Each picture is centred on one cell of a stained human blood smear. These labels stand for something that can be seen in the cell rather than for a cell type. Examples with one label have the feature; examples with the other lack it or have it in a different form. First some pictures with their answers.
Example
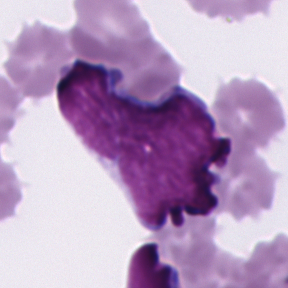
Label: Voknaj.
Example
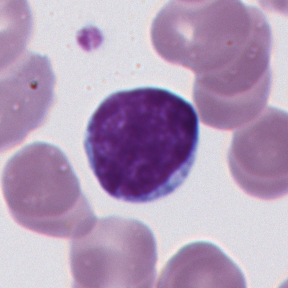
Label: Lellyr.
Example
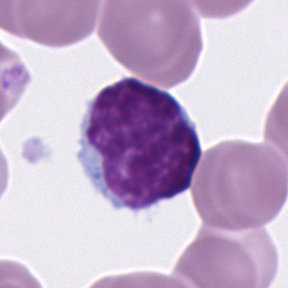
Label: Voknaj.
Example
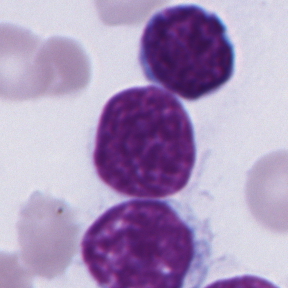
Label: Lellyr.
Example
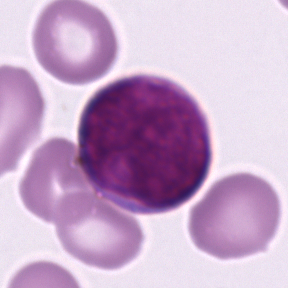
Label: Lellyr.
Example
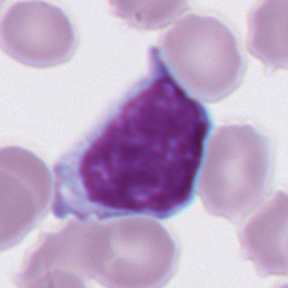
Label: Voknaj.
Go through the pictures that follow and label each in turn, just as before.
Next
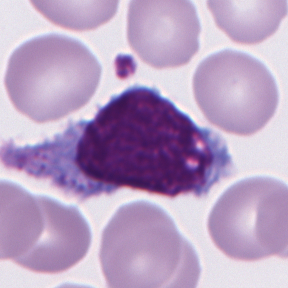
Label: Voknaj.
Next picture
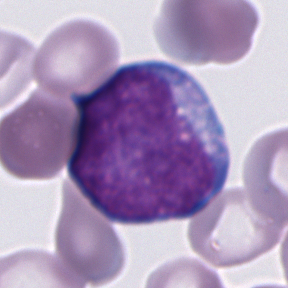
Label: Lellyr.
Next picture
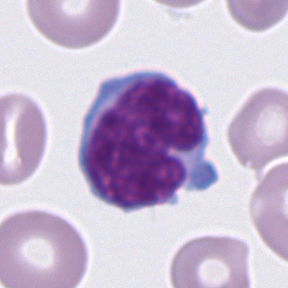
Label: Voknaj.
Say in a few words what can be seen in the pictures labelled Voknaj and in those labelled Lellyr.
In Voknaj: ragged outline or projections. In Lellyr: smooth outline.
